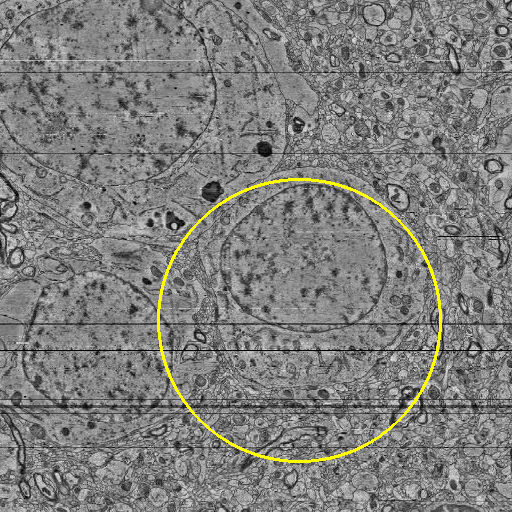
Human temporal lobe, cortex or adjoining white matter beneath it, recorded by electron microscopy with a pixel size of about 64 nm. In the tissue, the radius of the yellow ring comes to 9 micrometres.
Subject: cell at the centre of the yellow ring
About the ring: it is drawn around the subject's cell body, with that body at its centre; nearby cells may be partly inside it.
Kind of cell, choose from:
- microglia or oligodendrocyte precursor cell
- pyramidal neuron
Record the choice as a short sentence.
The subject cell is a pyramidal neuron.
